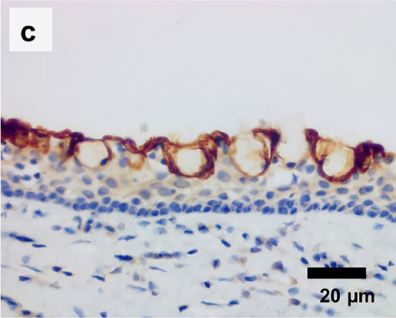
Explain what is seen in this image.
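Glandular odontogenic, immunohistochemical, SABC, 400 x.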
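The thin epithelial lining of a cyst rests on loose connective tissue, with mucous or goblet cells along its luminal surface. These surface cells are large, rounded and pale, each with a ring of brown stain around its clear content. The underlying connective tissue contains scattered spindle-shaped nuclei in a pale matrix.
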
